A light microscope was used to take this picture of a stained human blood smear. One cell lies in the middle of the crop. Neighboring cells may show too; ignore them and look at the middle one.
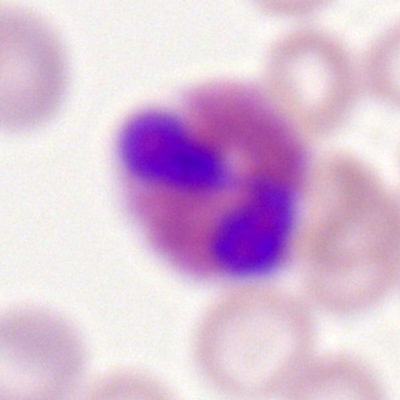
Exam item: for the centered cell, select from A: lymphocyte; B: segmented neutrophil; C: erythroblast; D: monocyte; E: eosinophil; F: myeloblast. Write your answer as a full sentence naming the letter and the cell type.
Option E is correct in naming the middle cell an eosinophil.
